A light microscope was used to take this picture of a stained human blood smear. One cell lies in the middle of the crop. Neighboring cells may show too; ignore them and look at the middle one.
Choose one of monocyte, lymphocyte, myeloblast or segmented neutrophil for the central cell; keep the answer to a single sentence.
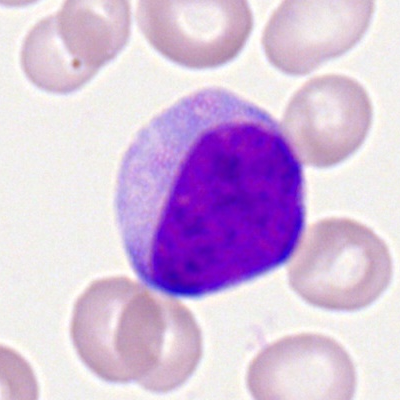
In the centre of this crop there is a myeloblast.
